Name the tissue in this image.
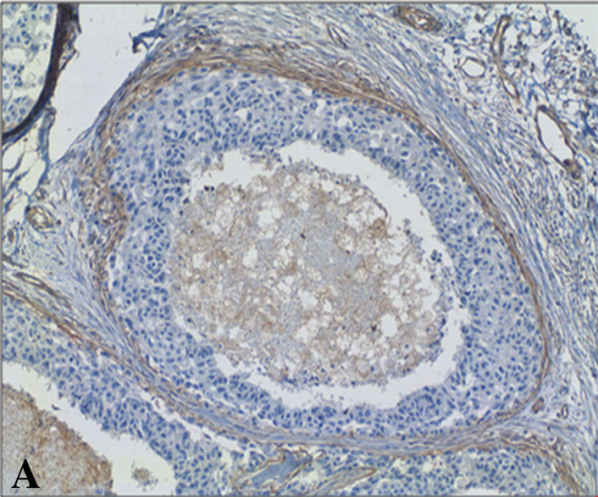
In situ Breast Carcinoma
